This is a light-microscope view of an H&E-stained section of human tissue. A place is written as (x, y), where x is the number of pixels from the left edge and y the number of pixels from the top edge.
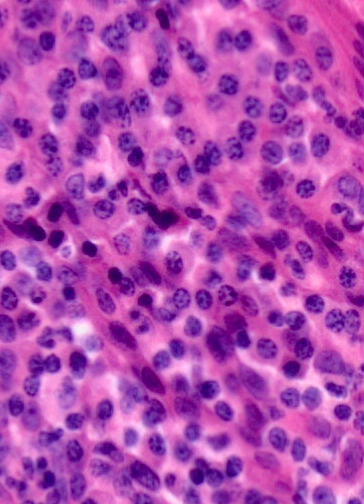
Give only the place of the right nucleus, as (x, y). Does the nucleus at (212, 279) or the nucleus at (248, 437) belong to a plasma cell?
(212, 279)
